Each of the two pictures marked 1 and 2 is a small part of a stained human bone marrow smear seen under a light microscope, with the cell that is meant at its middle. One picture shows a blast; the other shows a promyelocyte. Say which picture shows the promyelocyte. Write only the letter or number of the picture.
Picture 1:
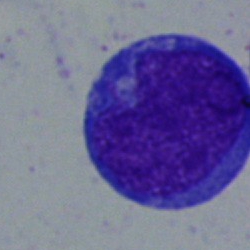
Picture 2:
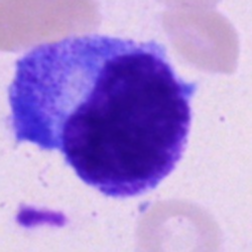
2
